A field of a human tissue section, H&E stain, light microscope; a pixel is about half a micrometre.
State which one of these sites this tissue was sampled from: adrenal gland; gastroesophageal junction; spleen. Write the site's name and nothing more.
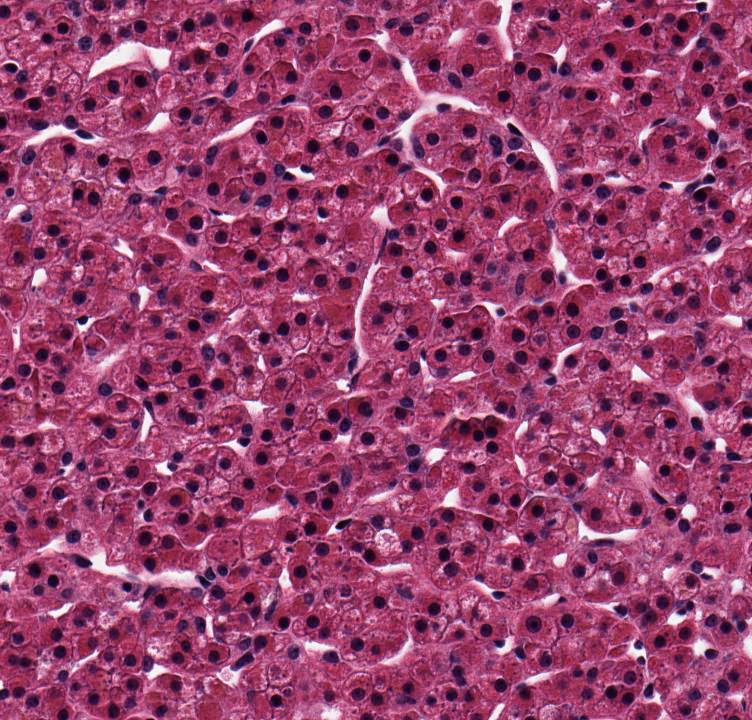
adrenal gland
